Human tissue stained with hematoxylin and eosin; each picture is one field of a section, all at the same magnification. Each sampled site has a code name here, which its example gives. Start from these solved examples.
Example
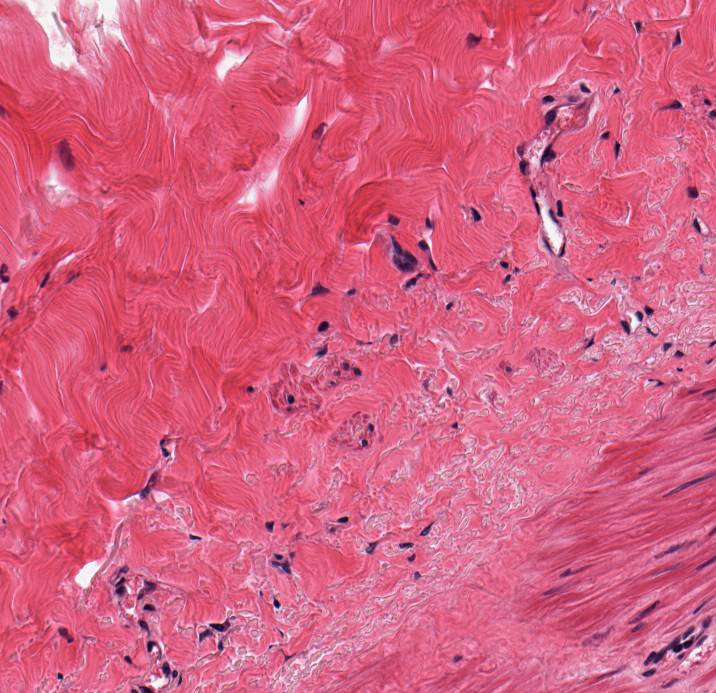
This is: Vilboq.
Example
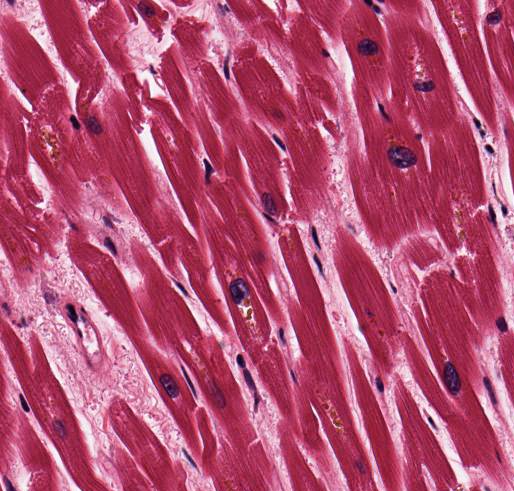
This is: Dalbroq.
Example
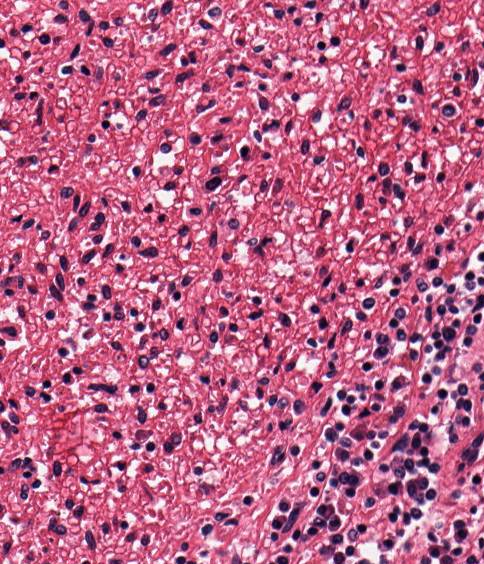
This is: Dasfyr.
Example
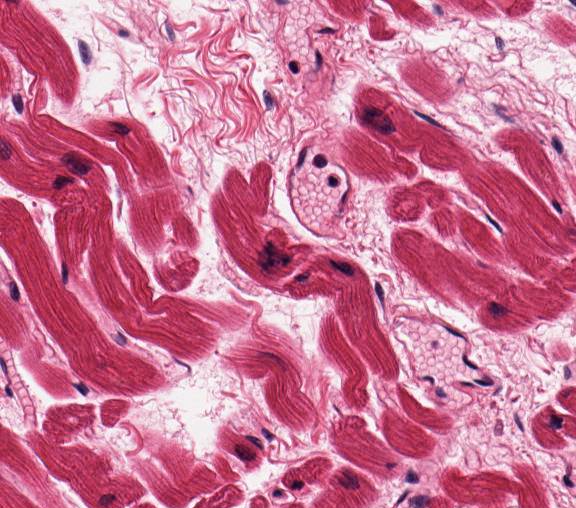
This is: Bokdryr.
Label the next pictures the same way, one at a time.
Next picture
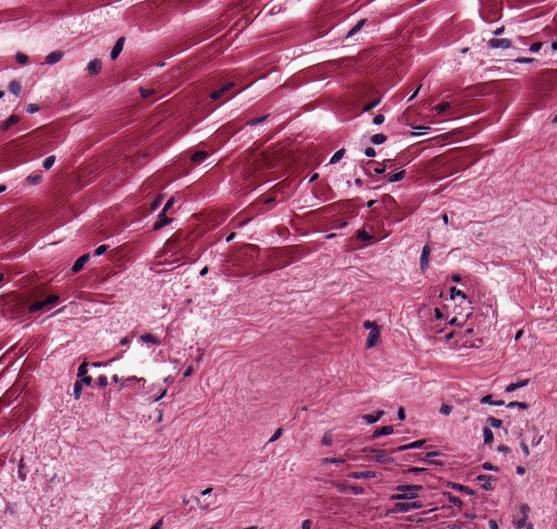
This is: Dalbroq.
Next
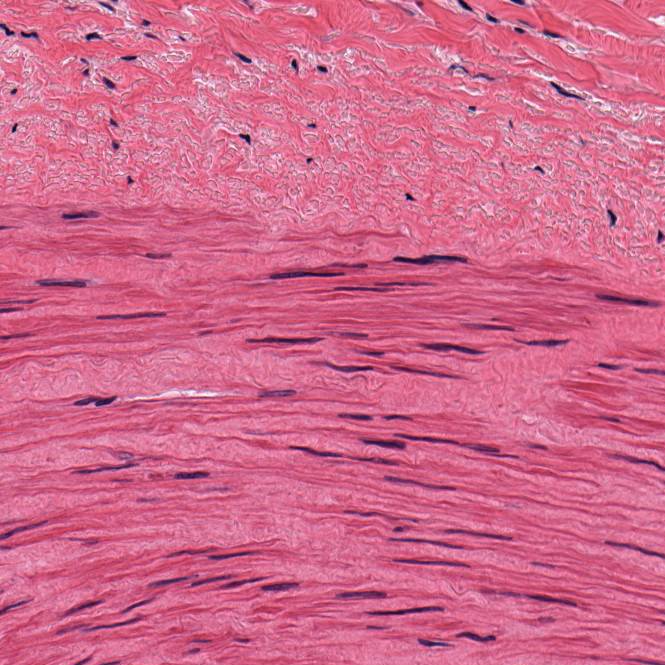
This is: Vilboq.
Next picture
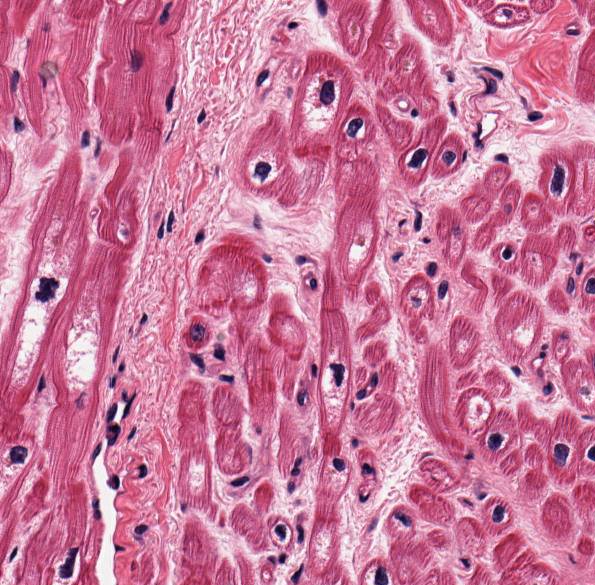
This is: Bokdryr.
